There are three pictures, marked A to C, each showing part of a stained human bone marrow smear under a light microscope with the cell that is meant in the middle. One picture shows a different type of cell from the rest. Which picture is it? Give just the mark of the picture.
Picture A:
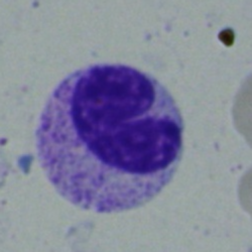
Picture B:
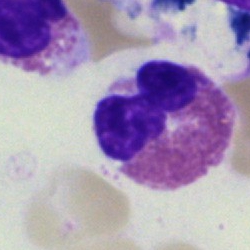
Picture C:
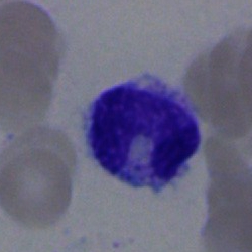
B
